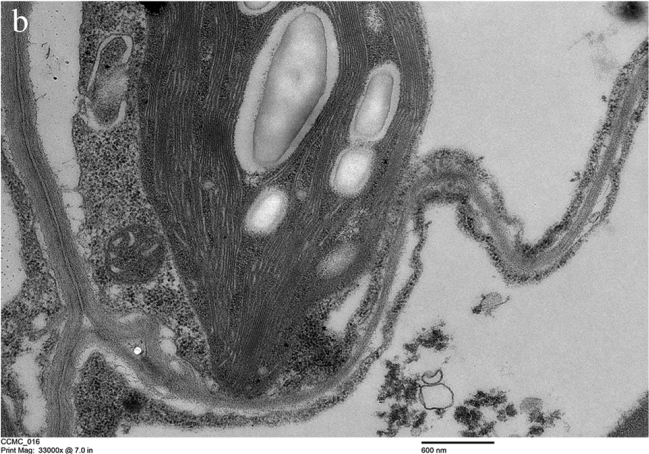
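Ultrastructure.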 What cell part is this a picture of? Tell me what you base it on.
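An elongated organelle filled with long parallel membrane stacks. Several large pale oval inclusions within it. It lies against the cell wall. So: chloroplast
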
